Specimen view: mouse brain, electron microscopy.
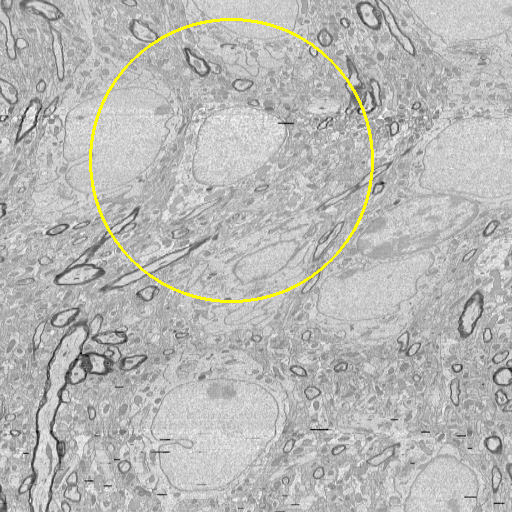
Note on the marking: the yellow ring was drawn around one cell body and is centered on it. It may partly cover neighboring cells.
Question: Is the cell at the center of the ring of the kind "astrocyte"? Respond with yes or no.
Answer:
yes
